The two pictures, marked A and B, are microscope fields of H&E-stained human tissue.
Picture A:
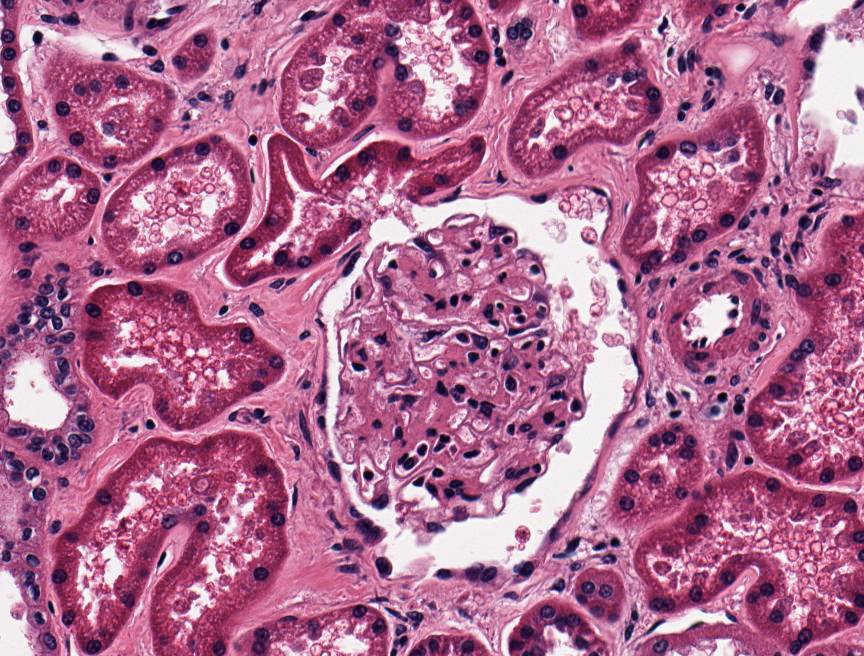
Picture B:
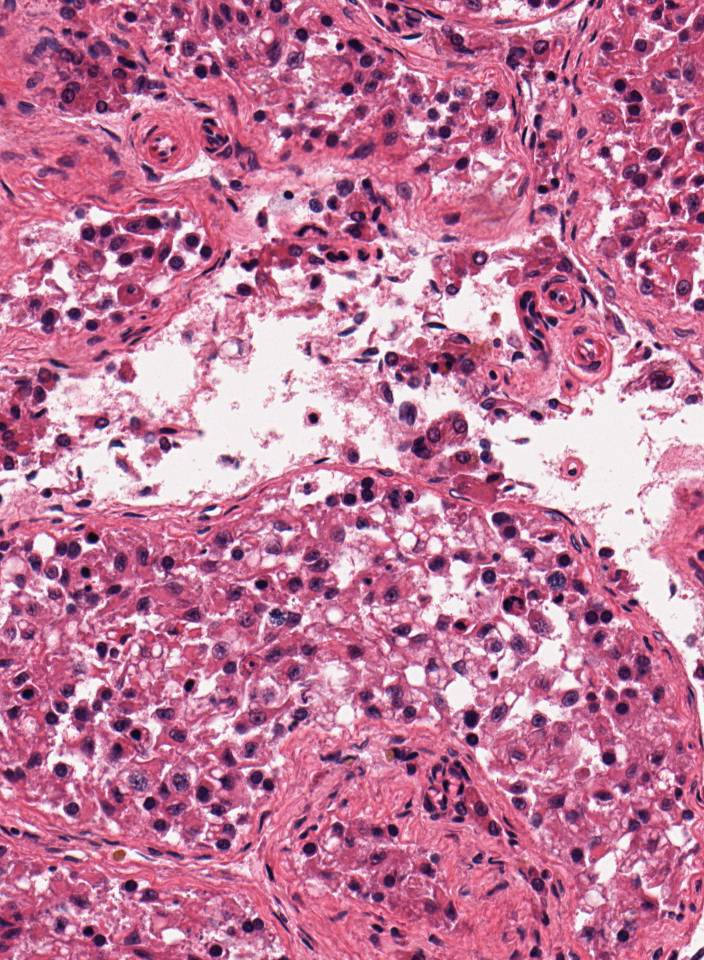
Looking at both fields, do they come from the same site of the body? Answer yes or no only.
no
